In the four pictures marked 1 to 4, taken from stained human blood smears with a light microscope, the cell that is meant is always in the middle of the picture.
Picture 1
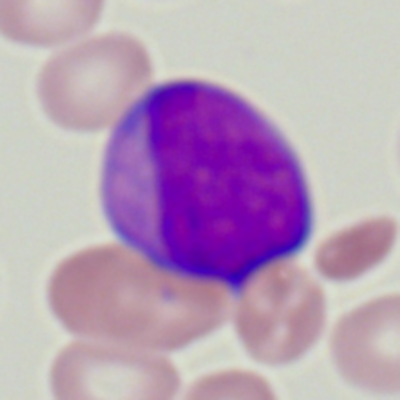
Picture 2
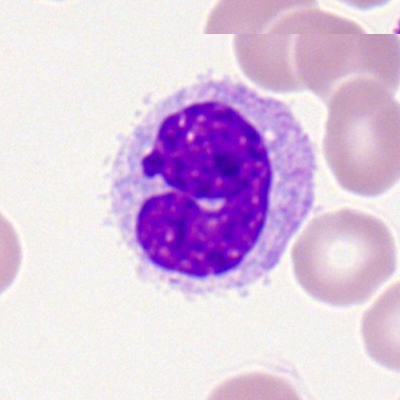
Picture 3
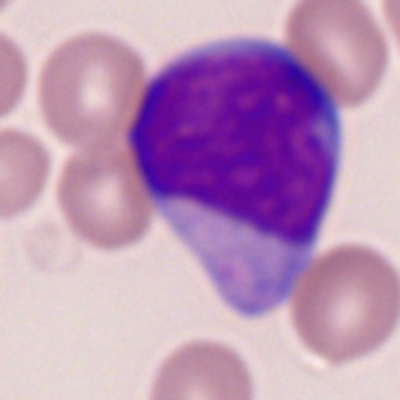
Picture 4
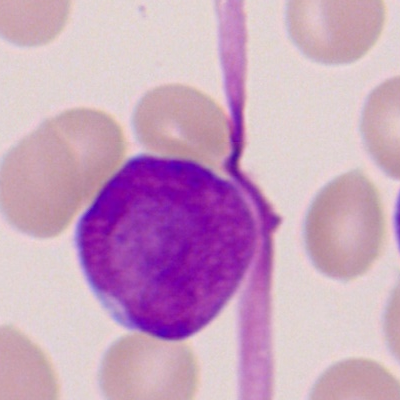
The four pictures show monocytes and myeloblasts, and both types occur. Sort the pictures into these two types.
1: myeloblast
2: monocyte
3: myeloblast
4: myeloblast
